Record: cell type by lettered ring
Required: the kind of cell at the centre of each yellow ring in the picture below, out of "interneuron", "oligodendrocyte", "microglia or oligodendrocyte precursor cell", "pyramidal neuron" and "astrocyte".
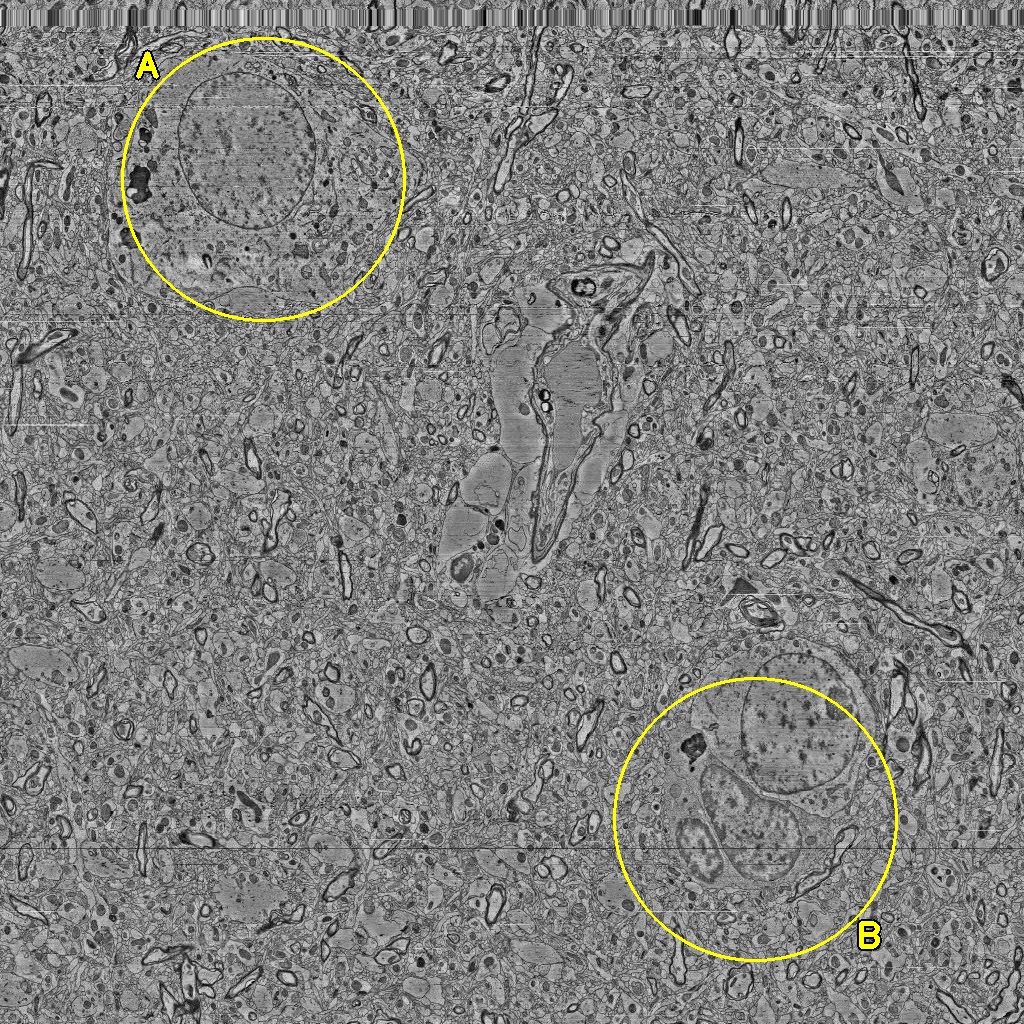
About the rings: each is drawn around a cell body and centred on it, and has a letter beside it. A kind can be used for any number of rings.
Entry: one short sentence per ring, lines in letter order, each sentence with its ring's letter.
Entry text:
At ring A we have a pyramidal neuron.
At ring B we have an oligodendrocyte.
